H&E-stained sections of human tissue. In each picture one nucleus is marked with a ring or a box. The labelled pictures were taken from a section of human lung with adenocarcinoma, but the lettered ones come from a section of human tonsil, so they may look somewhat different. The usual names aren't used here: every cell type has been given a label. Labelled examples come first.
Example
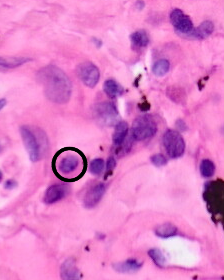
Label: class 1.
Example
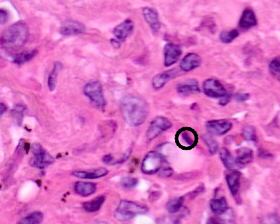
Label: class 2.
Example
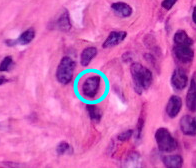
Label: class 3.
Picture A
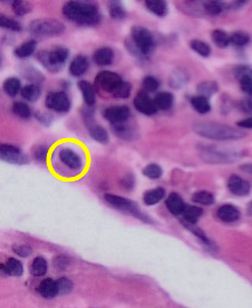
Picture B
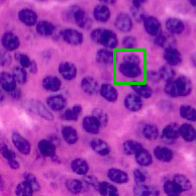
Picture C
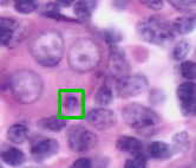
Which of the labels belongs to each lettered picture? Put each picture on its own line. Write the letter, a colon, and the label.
A: class 1.
B: class 3.
C: class 2.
